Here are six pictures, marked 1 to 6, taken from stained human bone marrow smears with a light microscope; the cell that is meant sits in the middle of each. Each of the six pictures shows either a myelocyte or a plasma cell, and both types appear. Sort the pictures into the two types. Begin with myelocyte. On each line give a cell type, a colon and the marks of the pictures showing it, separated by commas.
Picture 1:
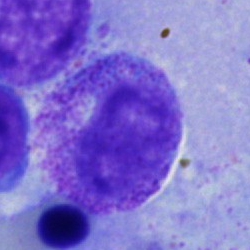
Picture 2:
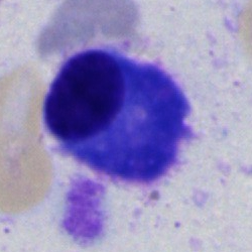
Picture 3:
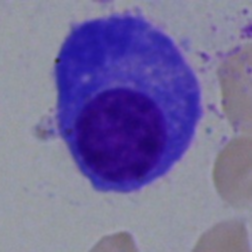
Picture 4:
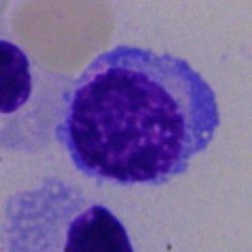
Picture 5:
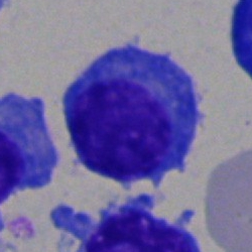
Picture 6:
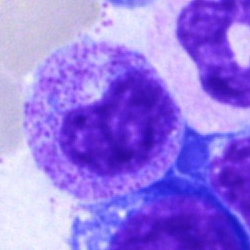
myelocyte: 1, 6
plasma cell: 2, 3, 4, 5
